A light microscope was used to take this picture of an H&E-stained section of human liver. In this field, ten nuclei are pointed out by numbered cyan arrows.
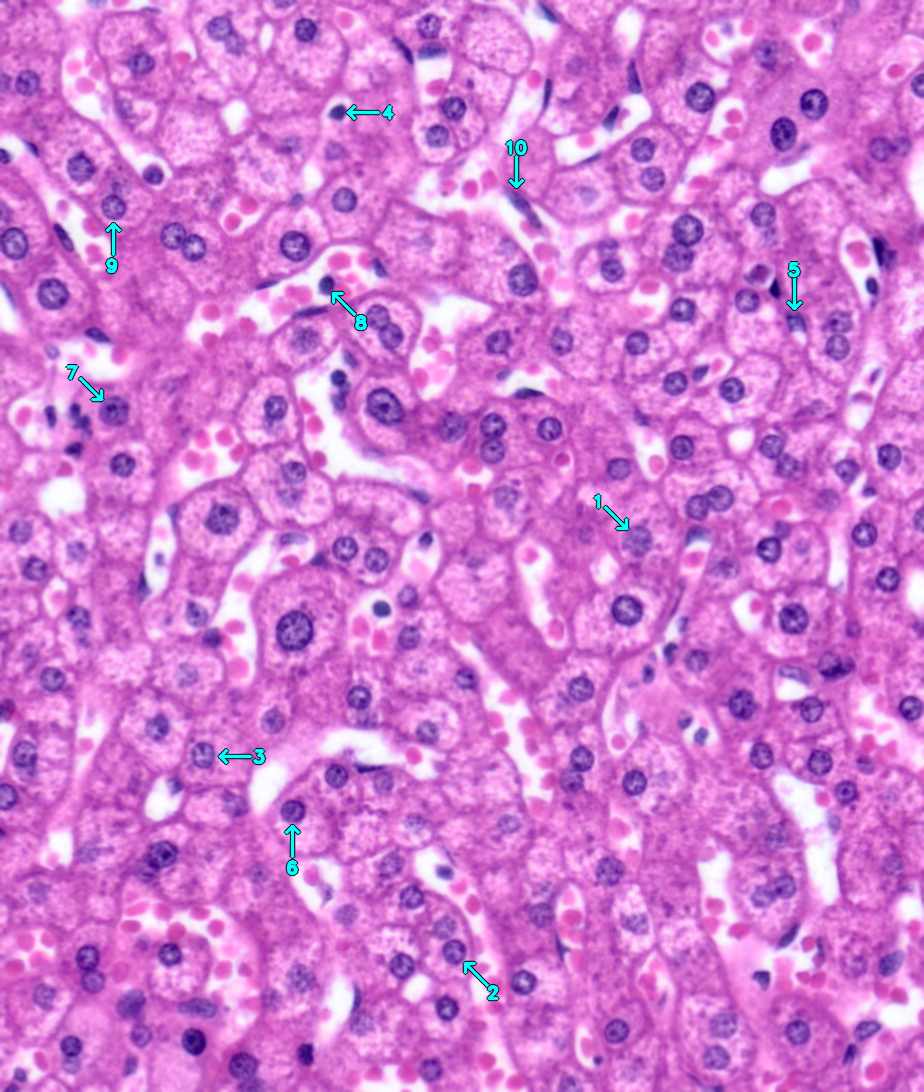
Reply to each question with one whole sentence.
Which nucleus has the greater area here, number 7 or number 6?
The larger nucleus is 7, at roughly 1.5 times the area of 6.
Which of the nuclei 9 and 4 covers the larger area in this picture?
Nucleus 9 is larger, with an area about 2 times that of nucleus 4.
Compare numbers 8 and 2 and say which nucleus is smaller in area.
With nucleus 2 about 2 times its size, nucleus 8 is the smaller of the two.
